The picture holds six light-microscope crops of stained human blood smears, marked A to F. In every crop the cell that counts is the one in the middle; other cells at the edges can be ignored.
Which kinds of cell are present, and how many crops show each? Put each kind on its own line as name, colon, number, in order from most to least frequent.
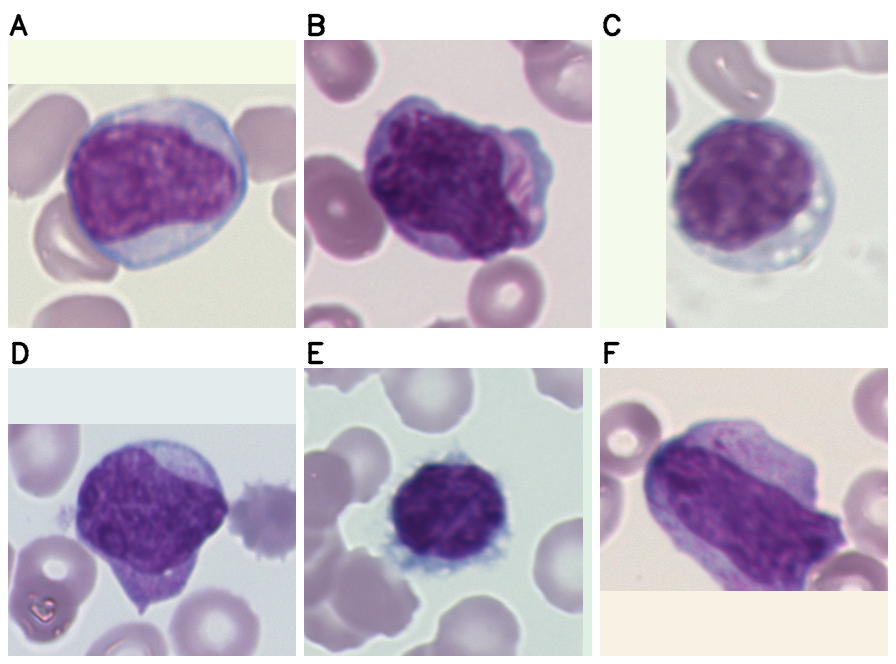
atypical promyelocyte: 3
myeloblast: 2
hairy cell: 1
